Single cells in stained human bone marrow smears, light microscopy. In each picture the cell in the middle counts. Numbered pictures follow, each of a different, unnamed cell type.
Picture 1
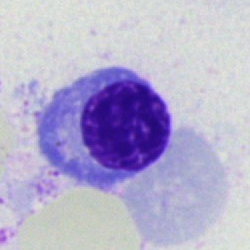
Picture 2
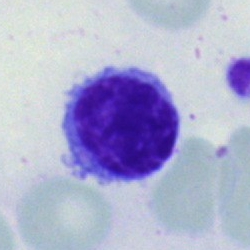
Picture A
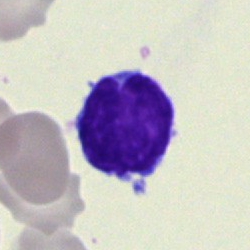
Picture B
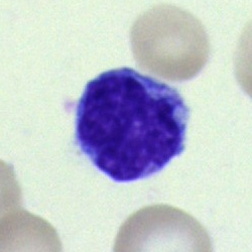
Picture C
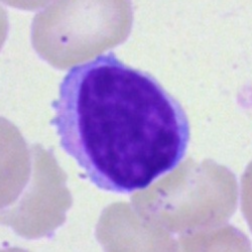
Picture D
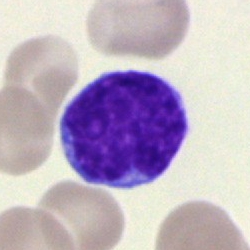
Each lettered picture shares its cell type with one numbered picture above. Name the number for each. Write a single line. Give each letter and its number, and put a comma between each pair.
A 2, B 2, C 2, D 2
